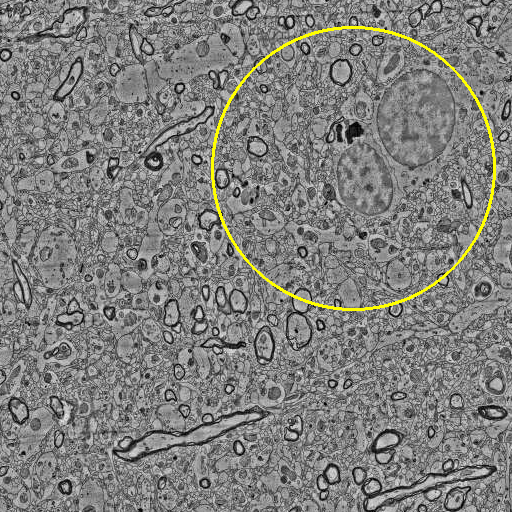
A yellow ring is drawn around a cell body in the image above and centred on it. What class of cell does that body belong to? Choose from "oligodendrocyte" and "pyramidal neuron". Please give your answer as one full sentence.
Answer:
The yellow ring above is centred on the cell body of an oligodendrocyte.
